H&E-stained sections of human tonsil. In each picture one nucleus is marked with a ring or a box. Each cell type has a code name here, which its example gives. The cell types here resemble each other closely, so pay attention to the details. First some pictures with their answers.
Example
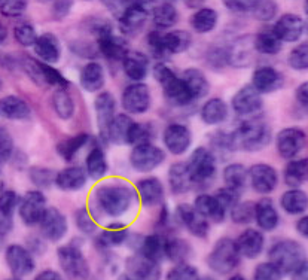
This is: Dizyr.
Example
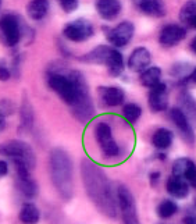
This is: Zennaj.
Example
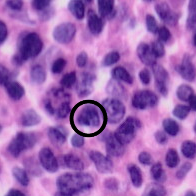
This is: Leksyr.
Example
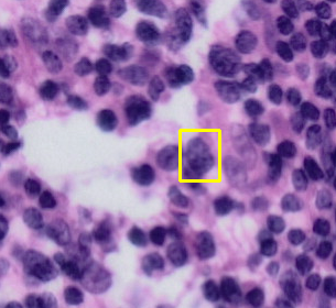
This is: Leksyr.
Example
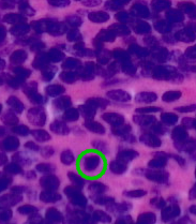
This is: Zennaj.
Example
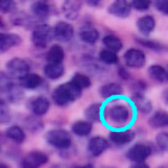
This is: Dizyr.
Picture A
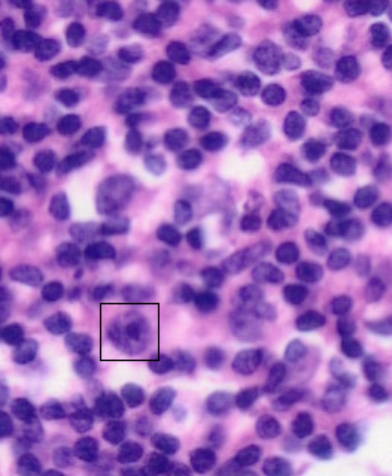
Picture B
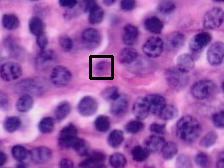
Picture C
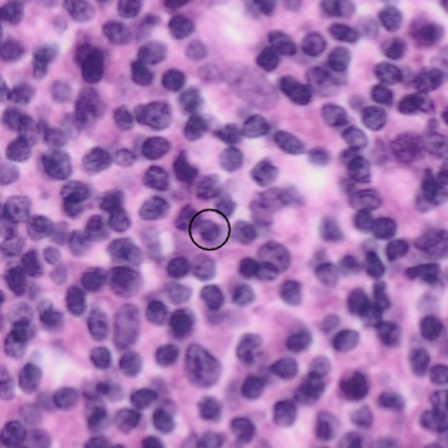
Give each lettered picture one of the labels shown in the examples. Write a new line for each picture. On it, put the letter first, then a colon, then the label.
A: Leksyr.
B: Zennaj.
C: Dizyr.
